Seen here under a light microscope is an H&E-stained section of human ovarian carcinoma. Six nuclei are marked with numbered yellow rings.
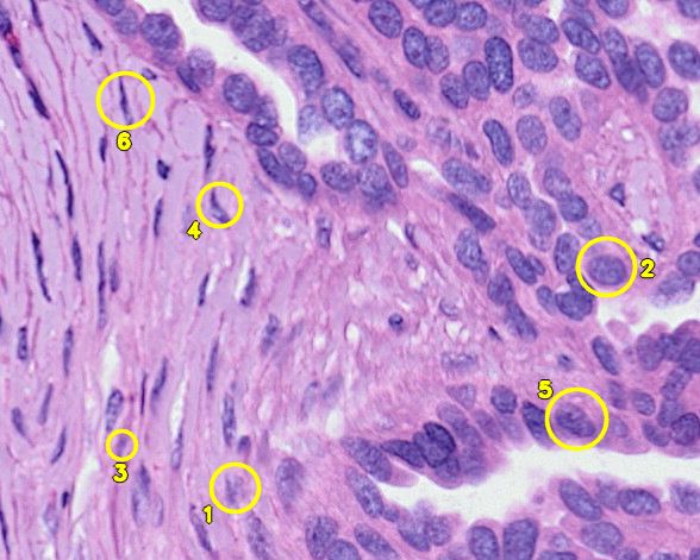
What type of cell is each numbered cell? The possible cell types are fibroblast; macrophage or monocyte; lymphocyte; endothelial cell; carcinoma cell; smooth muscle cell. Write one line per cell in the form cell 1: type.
cell 1: fibroblast
cell 2: carcinoma cell
cell 3: fibroblast
cell 4: fibroblast
cell 5: carcinoma cell
cell 6: fibroblast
